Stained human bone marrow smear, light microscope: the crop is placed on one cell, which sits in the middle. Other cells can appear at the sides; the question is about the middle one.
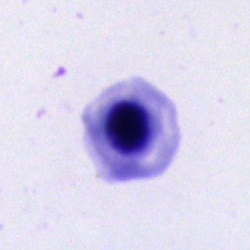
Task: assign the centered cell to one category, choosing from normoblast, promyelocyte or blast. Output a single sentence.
Looking at the middle of the crop, the cell there is a normoblast.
